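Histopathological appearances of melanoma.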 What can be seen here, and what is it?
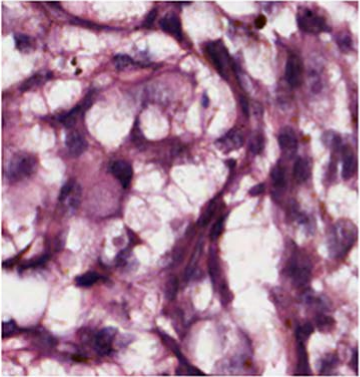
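These are balloon cells, large rounded tumour cells whose cytoplasm is pale, clear and bubbly. Their nuclei are small and dark, and the clear cells are separated by thin dark purple strands. The overall look is of a foamy, vacuolated tissue rather than a solid sheet of cells.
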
